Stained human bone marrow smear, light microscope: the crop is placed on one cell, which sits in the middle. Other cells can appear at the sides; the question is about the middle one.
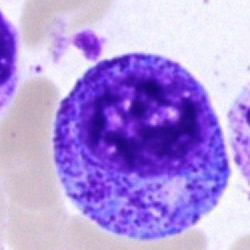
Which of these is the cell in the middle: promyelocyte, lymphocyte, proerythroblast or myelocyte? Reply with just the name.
promyelocyte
